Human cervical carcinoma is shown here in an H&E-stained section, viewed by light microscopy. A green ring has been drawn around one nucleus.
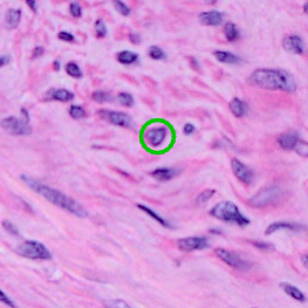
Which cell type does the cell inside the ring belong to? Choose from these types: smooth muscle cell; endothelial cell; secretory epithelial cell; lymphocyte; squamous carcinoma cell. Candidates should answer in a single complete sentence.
Considered by cell type, the cell inside the ring is a smooth muscle cell.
